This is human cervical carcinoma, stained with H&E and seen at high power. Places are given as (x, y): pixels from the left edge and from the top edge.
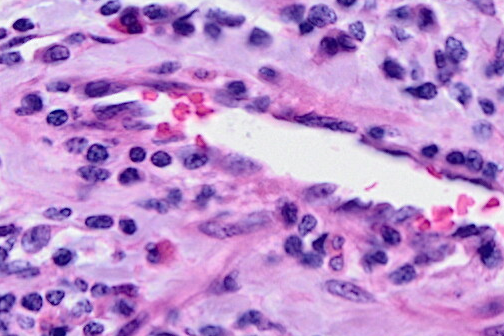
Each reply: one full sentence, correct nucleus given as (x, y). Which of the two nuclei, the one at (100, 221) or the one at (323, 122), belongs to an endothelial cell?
Among the two nuclei, the one lying at (323, 122) is part of an endothelial cell.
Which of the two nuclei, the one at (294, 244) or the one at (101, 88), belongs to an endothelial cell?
Identified as belonging to an endothelial cell is the nucleus at (101, 88).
